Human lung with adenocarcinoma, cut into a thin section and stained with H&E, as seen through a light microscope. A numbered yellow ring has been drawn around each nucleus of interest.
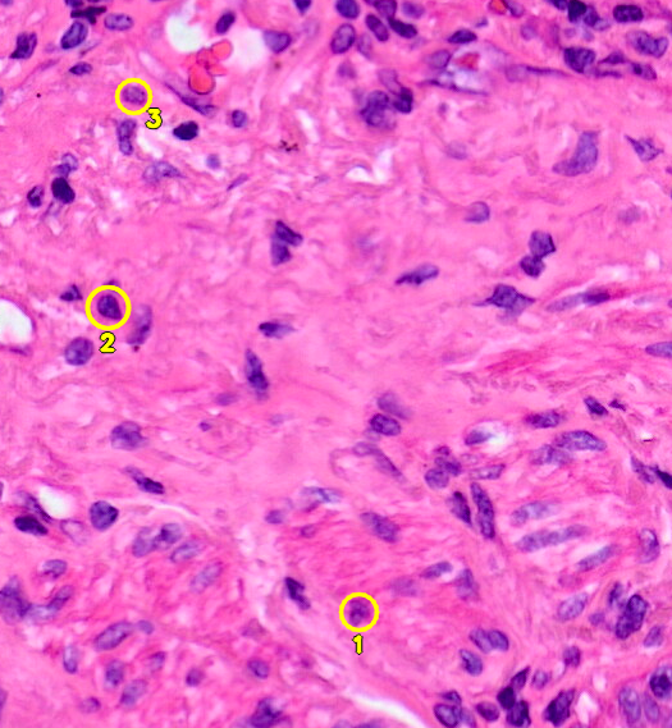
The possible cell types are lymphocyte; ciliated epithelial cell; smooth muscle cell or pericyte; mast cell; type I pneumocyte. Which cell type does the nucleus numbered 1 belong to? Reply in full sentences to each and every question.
The nucleus labelled 1 belongs to a smooth muscle cell or pericyte.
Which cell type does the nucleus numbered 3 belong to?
In this section, number 3 marks a mast cell.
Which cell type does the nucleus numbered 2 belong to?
Of the numbered cells, the one labelled 2 is a mast cell.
